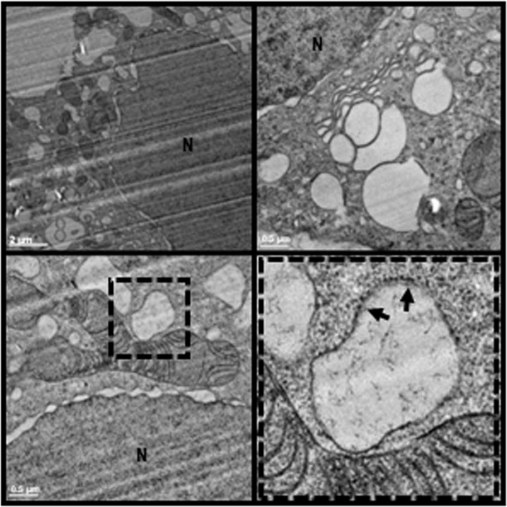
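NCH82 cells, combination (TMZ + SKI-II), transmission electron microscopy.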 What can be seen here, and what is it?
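Cultured cells with a large nucleus and cytoplasm filled with many round, pale, membrane-bound vacuoles of varying size. The vacuoles are dilated cisternae of the endoplasmic reticulum, some lined by small dark ribosomes on their outer membrane. Mitochondria with cristae lie between the vacuoles. The normal flat channel pattern of the reticulum is lost.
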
